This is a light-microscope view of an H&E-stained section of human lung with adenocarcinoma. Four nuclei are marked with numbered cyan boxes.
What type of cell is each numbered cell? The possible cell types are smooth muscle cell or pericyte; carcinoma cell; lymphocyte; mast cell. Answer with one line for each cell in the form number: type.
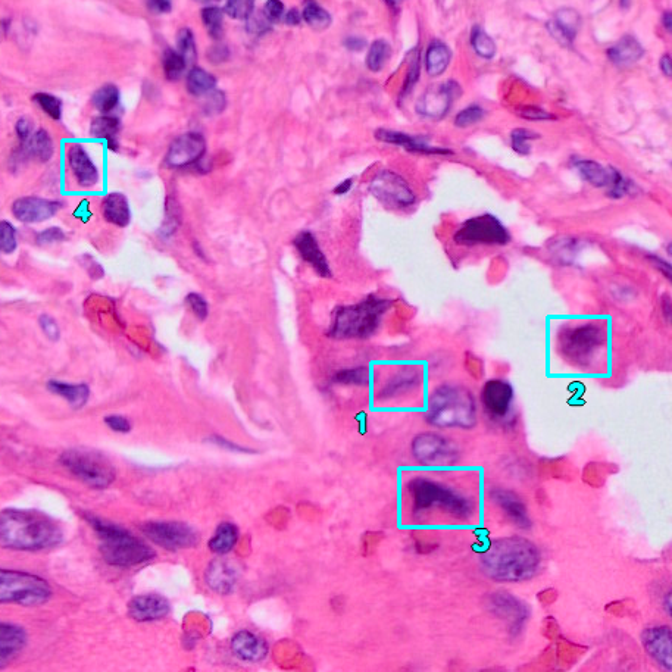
1: carcinoma cell
2: carcinoma cell
3: carcinoma cell
4: lymphocyte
